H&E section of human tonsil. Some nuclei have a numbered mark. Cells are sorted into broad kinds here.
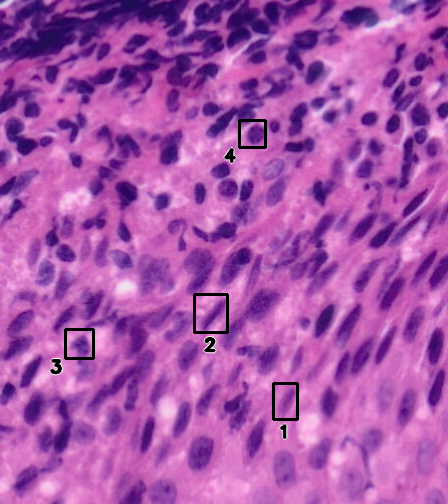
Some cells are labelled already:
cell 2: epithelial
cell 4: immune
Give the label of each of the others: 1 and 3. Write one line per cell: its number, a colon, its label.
1: epithelial
3: epithelial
